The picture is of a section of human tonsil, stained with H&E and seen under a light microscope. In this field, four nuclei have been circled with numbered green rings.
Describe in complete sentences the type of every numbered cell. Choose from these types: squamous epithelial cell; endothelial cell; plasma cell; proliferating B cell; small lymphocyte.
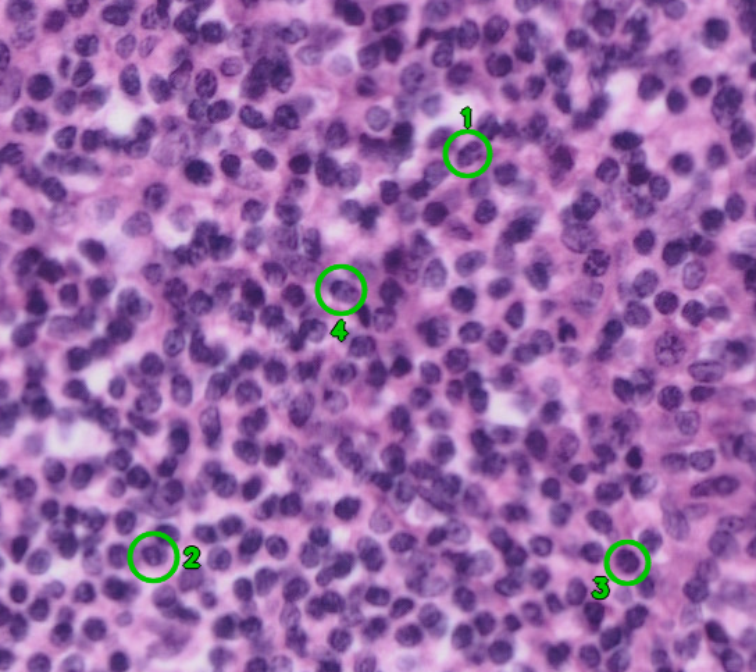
Cell 1 is a small lymphocyte, cell 2 is a small lymphocyte, cell 3 is a plasma cell and cell 4 is a small lymphocyte.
